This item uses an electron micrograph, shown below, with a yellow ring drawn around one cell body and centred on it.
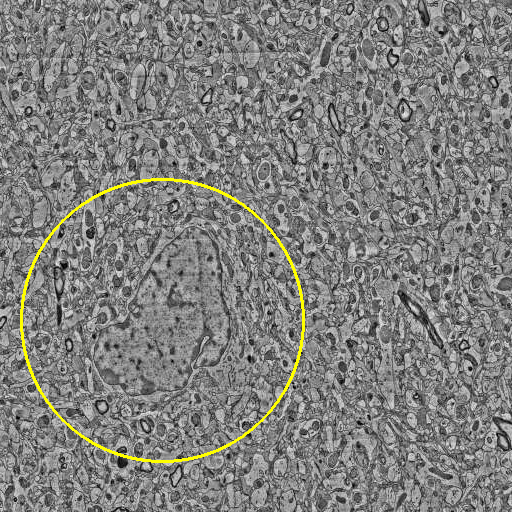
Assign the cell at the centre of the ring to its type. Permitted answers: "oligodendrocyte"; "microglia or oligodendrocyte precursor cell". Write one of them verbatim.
microglia or oligodendrocyte precursor cell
